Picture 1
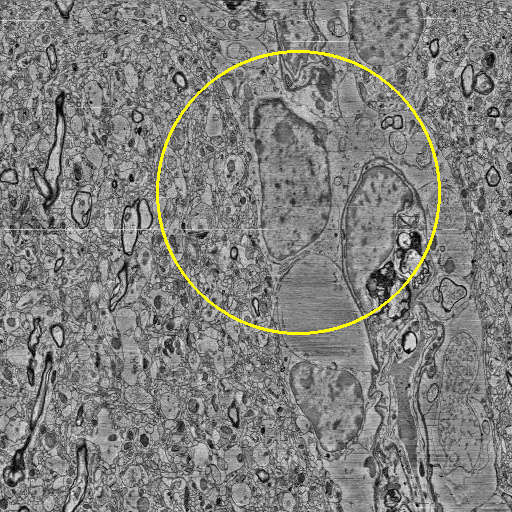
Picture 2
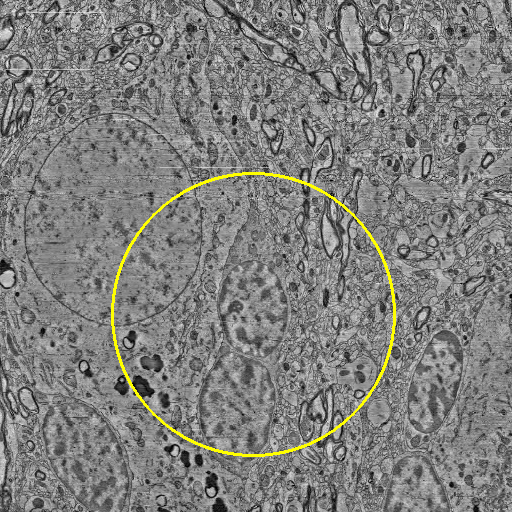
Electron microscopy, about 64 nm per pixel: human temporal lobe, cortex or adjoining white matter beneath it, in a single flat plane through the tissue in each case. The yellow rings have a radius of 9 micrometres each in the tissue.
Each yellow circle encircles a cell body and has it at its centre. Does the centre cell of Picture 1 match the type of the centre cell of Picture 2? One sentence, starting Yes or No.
No, the cell centred in Picture 1 and the one in Picture 2 have separate types.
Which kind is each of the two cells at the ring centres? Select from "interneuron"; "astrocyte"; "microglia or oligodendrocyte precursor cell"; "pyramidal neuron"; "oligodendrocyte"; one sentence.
The cell at the centre of the ring is a microglial cell or oligodendrocyte precursor cell in the first picture and an oligodendrocyte in the second.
